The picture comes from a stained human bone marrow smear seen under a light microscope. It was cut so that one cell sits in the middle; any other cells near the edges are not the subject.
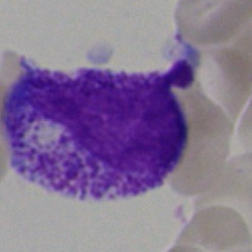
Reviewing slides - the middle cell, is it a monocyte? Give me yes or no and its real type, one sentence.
No, the cell occupying the centre is a myelocyte, not a monocyte.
